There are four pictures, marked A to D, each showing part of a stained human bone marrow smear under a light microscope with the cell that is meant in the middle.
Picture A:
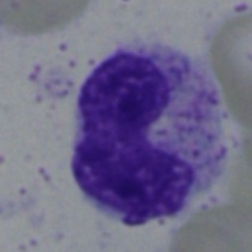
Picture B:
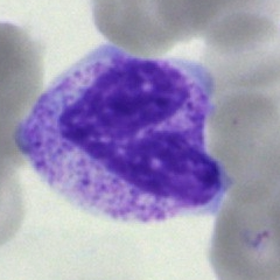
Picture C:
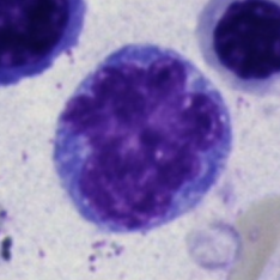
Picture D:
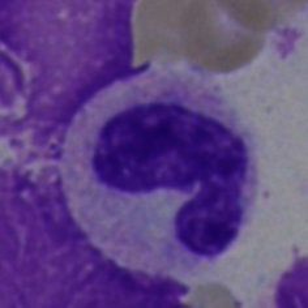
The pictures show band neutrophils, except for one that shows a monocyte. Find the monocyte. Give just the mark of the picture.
C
